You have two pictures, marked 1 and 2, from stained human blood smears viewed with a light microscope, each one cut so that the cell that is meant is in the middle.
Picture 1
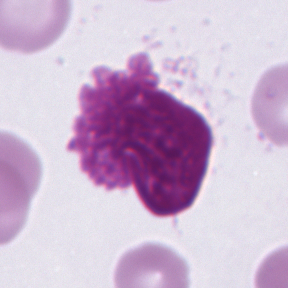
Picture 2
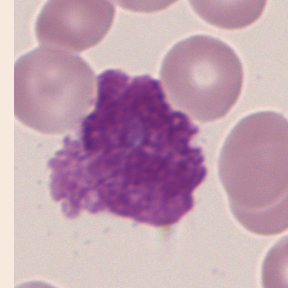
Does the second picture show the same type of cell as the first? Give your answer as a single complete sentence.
Yes, they are the same type: both are smudge cells.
